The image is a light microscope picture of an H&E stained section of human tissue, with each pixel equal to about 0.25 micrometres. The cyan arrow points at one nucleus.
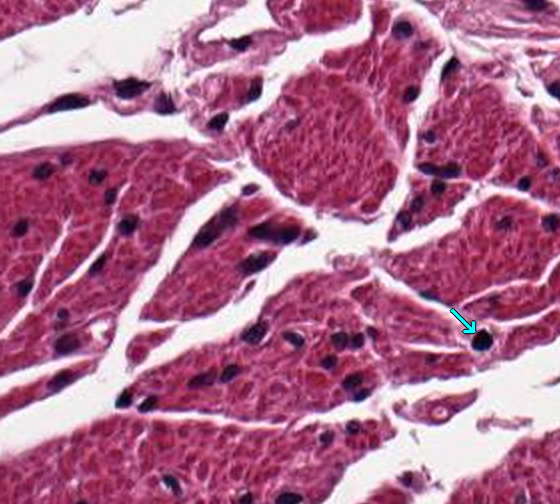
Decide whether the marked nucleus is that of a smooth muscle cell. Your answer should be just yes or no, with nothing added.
no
